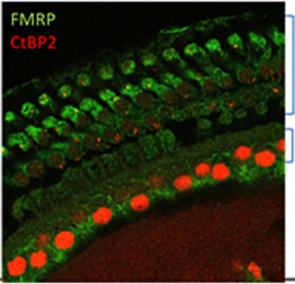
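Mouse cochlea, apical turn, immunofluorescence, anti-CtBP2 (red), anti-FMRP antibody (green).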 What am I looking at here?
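This surface view of the organ of Corti shows a single row of inner hair cells and three rows of outer hair cells. The outer hair cells lie in three parallel, regularly spaced rows, their cell bodies filled with green and their nuclei faint. Between the two groups runs a darker band without hair cells.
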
